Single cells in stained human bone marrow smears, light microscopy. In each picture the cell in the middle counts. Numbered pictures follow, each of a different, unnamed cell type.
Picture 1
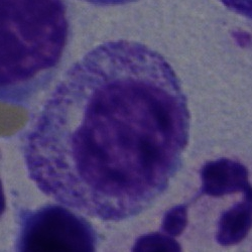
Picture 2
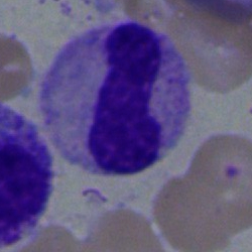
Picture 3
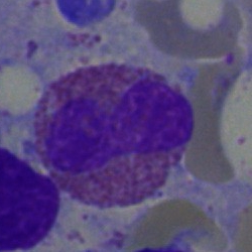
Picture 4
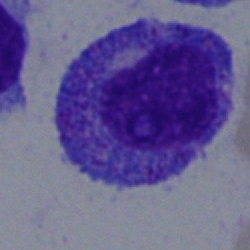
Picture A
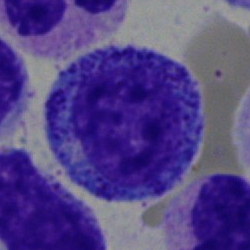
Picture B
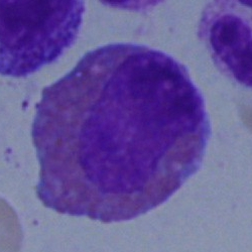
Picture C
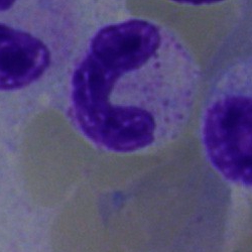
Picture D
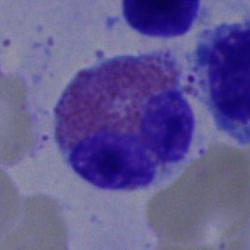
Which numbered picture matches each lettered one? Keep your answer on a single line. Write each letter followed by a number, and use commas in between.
A 4, B 3, C 2, D 3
